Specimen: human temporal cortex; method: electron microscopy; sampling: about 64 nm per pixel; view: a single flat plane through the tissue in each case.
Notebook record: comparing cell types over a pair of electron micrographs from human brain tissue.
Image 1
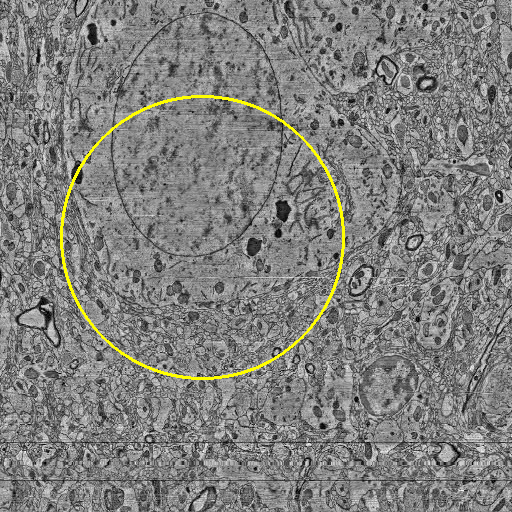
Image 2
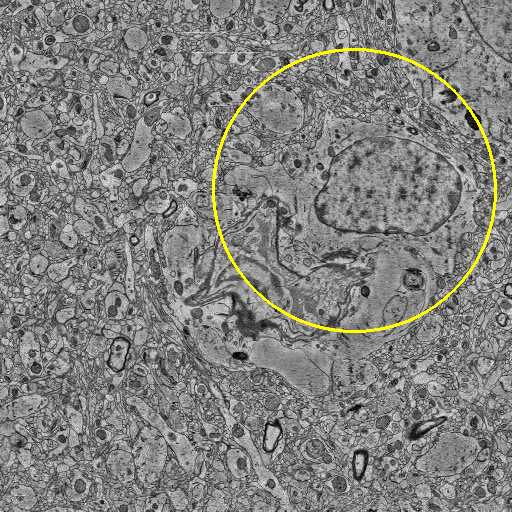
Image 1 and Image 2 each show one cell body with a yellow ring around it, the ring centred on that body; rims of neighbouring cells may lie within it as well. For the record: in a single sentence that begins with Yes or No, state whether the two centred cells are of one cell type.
No, two cell types are found among the centred cells of Image 1 and Image 2.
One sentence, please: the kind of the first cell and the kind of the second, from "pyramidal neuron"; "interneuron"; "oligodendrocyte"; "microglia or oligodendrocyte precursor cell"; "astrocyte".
The ring in the first picture surrounds a pyramidal neuron, and the ring in the second surrounds a microglial cell or oligodendrocyte precursor cell.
